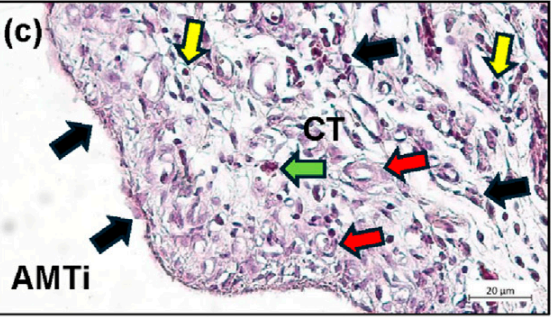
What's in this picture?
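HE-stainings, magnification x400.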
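A thin, cell-rich border lines the curved surface facing the empty space. Behind it the tissue is loosely arranged with many cells with oval to round purple nuclei and pink cytoplasm. Small round lumina lined by flat cells are scattered through the tissue. Fibres are sparse and delicate compared with the cellular density.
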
